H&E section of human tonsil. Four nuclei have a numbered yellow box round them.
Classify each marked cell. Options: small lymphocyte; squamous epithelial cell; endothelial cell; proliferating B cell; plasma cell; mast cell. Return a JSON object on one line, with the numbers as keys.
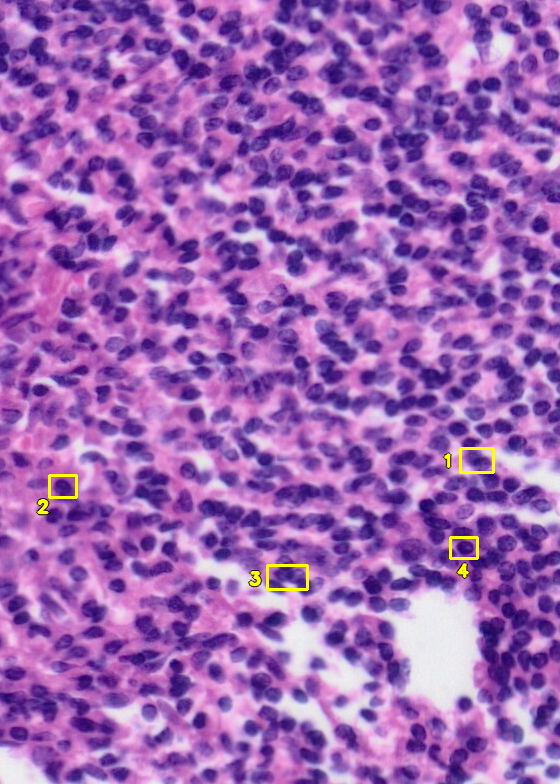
{"1": "small lymphocyte", "2": "plasma cell", "3": "small lymphocyte", "4": "small lymphocyte"}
